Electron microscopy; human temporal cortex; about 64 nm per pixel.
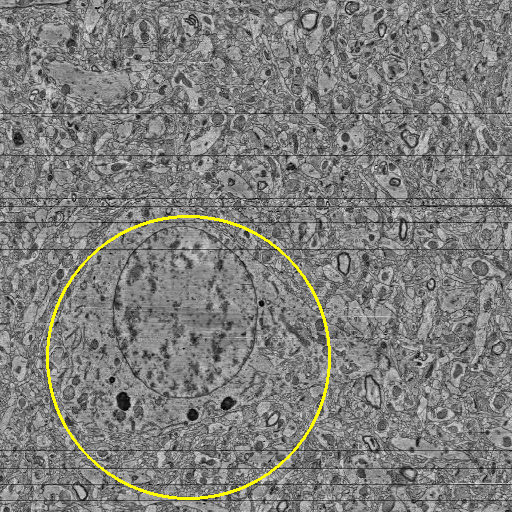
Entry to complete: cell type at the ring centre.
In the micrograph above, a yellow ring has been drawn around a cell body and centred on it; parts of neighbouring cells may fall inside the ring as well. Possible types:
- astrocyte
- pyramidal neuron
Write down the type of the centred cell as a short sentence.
The ring is centred on a pyramidal neuron.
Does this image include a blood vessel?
No, there is no blood vessel in the image.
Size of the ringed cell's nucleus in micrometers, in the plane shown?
The nucleus comes to roughly 12 by 10 micrometres in this plane.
